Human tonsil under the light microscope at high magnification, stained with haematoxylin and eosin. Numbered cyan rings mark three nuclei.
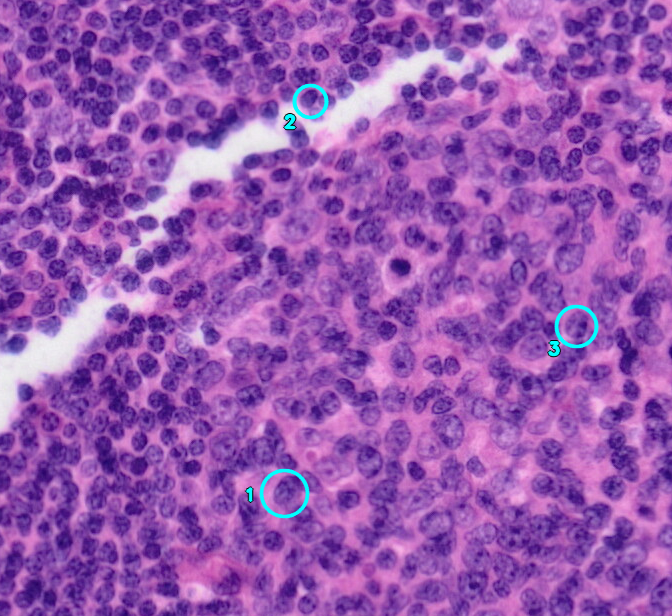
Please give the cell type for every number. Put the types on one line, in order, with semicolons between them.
proliferating B cell; small lymphocyte; proliferating B cell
